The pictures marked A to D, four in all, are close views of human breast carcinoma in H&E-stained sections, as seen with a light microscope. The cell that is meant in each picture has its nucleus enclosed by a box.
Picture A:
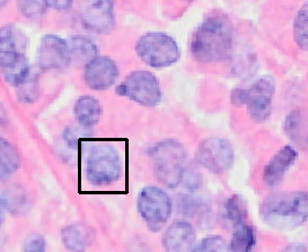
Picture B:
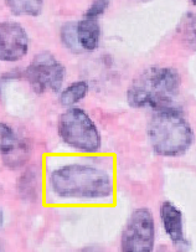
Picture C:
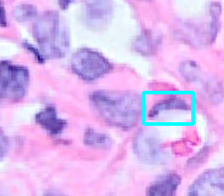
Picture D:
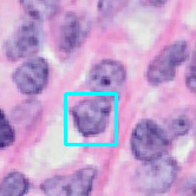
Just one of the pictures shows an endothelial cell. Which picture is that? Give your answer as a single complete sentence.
Picture C is the one that shows the endothelial cell.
